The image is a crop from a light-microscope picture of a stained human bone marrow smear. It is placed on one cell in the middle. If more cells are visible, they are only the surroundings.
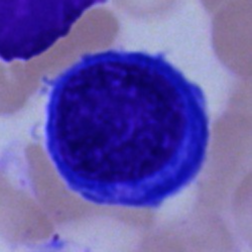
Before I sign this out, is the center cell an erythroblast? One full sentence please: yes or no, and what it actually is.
Yes, shown in the middle of the crop is an erythroblast.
